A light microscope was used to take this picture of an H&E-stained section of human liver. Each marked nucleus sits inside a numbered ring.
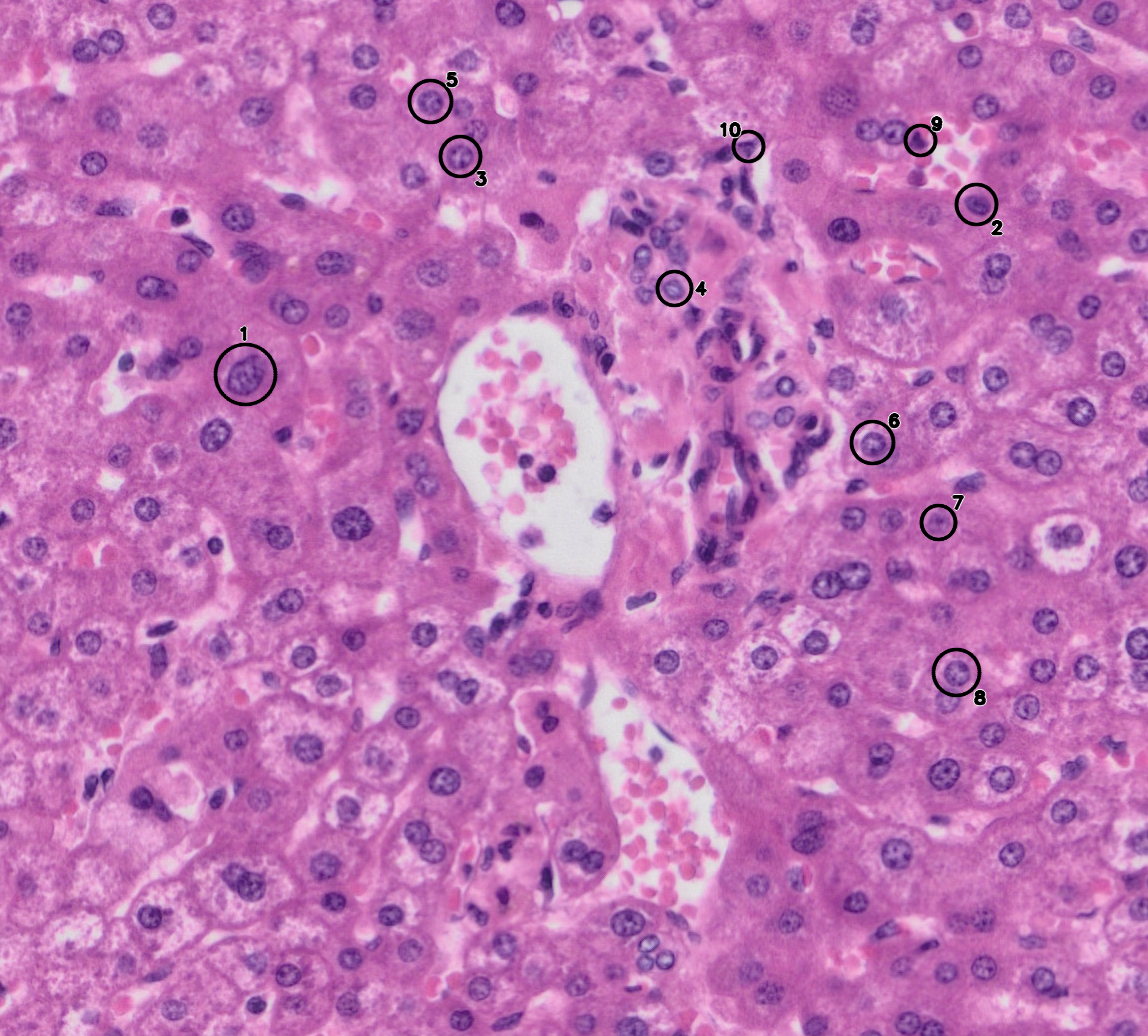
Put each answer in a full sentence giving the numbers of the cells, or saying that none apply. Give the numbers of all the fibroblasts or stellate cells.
Classified as fibroblasts or stellate cells are the cells numbered 2, 9 and 10.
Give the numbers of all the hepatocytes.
The cells which carry the numbers 1, 3, 5, 6, 7 and 8 are hepatocytes.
